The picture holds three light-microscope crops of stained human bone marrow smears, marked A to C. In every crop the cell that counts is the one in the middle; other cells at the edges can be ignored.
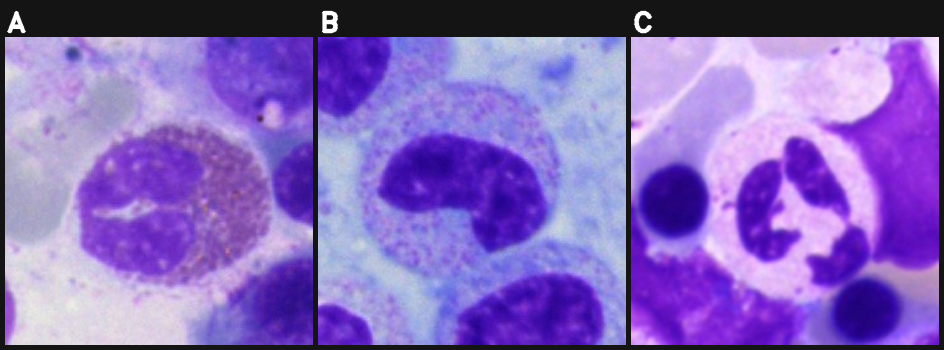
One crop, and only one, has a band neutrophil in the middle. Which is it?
B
